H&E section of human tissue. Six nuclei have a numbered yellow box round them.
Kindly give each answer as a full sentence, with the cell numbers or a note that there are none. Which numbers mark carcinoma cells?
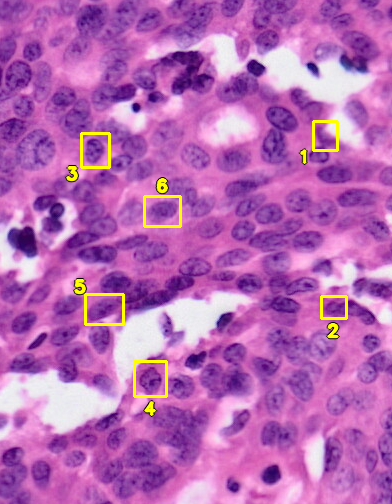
In this section, the cells labelled 1, 2, 5 and 6 are carcinoma cells.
